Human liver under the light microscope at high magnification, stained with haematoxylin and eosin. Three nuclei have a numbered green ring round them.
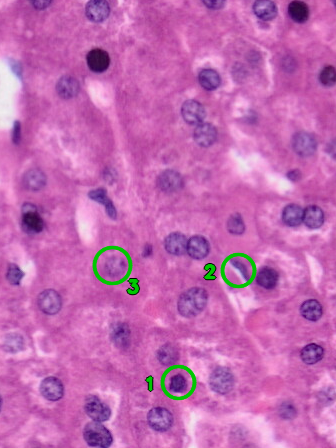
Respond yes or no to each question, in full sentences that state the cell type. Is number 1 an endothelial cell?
No, the cell labelled 1 is a fibroblast or stellate cell and not an endothelial cell.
